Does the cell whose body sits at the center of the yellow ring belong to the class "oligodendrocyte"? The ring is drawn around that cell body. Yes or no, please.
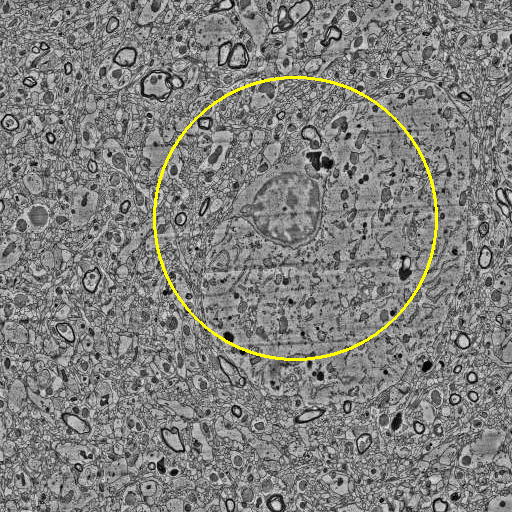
Yes, it belongs to that class.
